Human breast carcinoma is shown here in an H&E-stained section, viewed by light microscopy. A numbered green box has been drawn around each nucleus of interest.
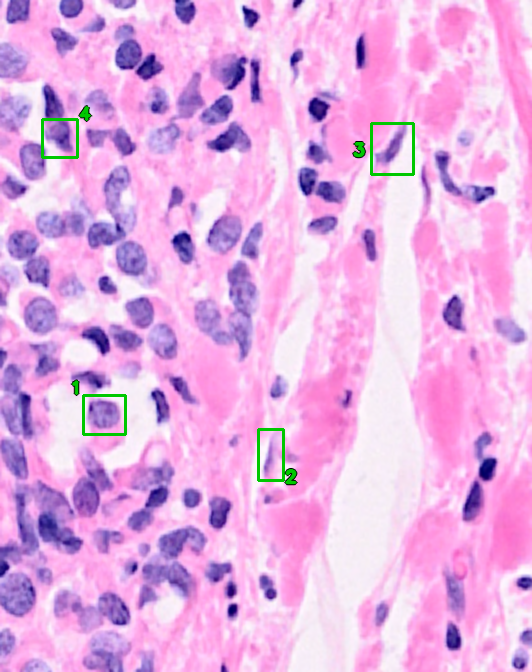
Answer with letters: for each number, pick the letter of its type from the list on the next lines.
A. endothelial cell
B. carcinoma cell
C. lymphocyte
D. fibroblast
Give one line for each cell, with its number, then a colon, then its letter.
1: B
2: D
3: D
4: B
